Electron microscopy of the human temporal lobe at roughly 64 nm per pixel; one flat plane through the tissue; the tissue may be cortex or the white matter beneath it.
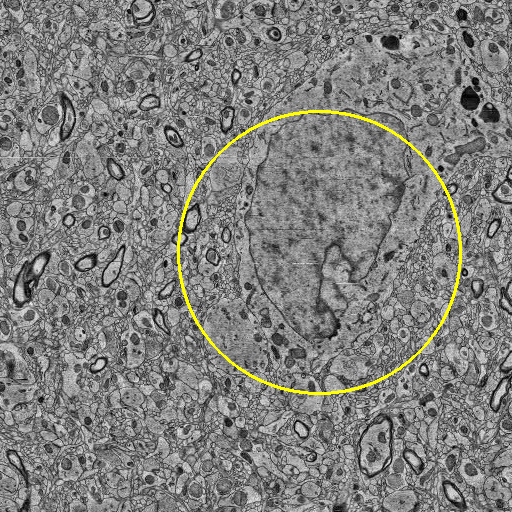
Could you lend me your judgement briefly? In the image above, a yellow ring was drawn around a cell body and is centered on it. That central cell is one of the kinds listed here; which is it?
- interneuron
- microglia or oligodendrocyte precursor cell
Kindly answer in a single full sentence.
Going by the list, an interneuron is the kind at the ring's center in the picture.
